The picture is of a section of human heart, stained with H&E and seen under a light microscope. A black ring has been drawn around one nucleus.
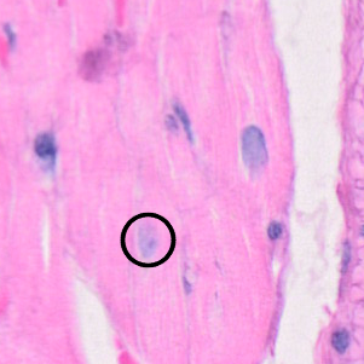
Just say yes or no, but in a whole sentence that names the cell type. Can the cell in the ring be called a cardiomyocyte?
Yes, it is a cardiomyocyte that the cell in the ring represents in this section.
